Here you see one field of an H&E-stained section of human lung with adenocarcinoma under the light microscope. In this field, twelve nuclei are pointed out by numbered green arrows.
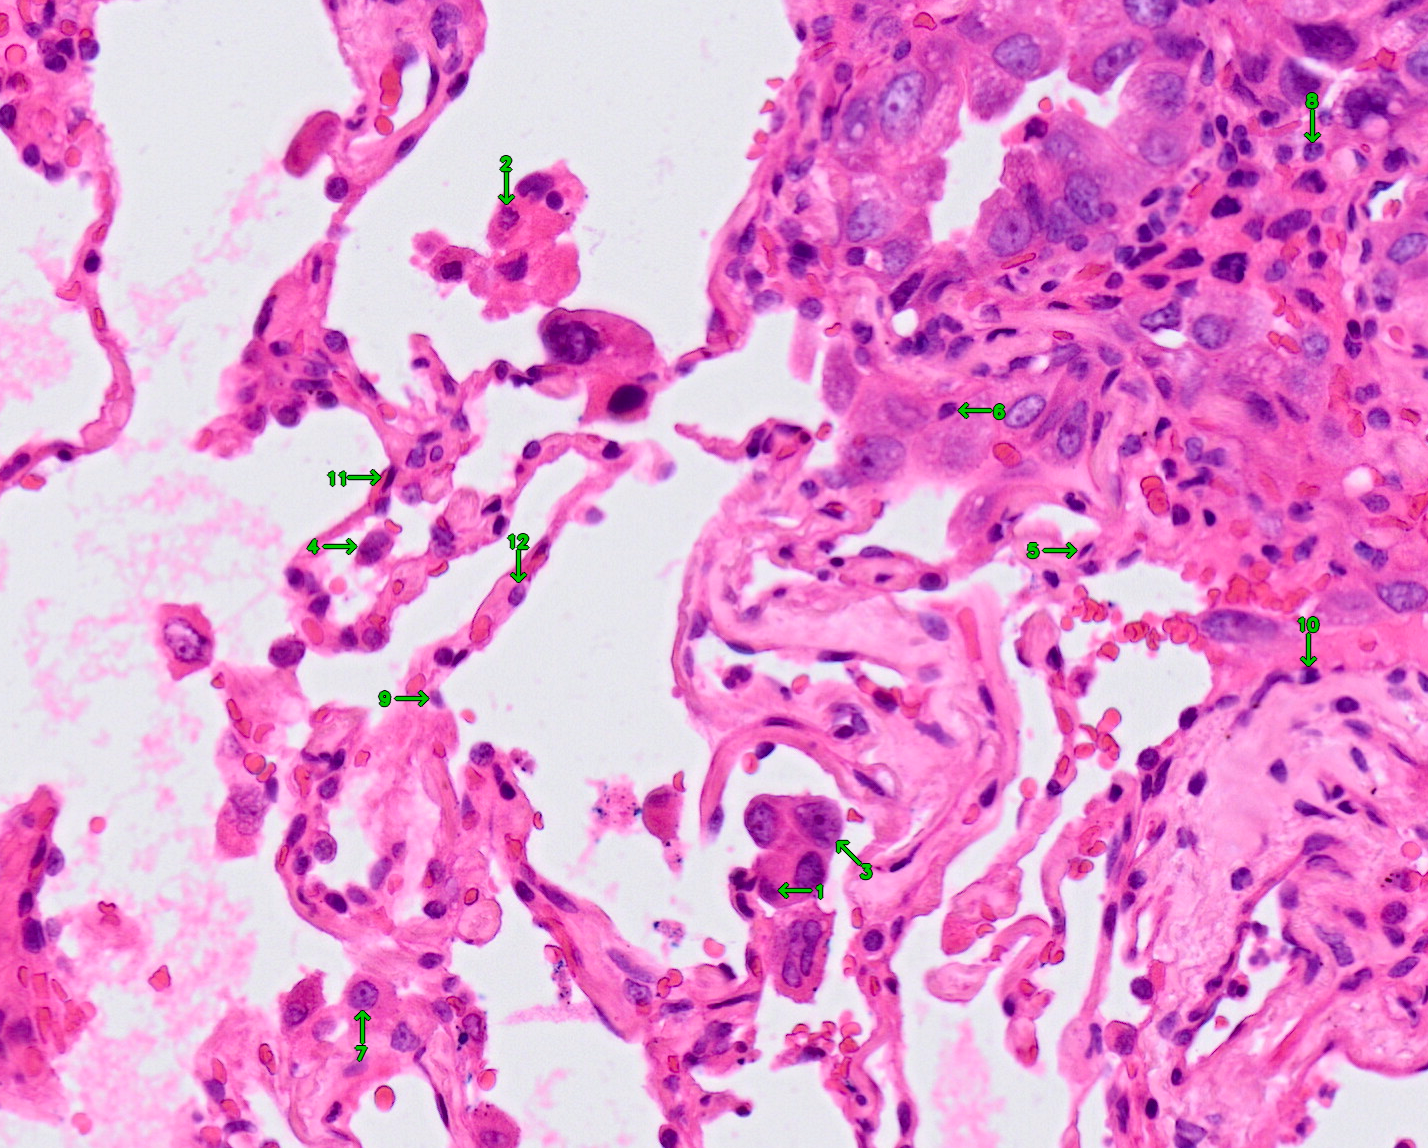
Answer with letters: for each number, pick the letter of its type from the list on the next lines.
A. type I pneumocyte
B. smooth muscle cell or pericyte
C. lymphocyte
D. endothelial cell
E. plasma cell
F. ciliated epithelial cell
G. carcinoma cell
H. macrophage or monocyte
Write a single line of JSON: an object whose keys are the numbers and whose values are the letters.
{"1": "G", "2": "H", "3": "G", "4": "H", "5": "D", "6": "C", "7": "H", "8": "C", "9": "A", "10": "C", "11": "D", "12": "A"}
